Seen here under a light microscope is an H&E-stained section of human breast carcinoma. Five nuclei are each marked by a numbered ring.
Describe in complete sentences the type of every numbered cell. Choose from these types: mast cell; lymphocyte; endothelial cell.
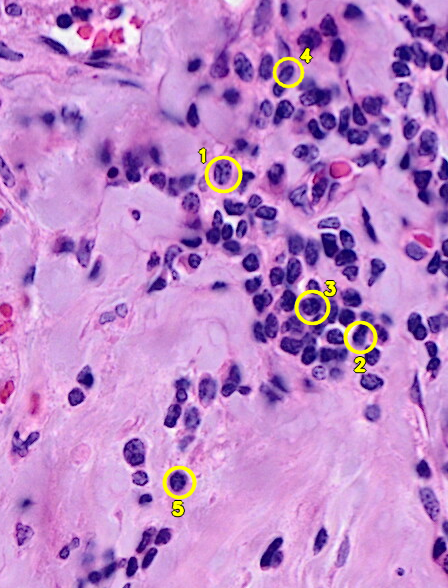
Cell 1 is a mast cell, cell 2 is a lymphocyte, cell 3 is a lymphocyte, cell 4 is a lymphocyte and cell 5 is a mast cell.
